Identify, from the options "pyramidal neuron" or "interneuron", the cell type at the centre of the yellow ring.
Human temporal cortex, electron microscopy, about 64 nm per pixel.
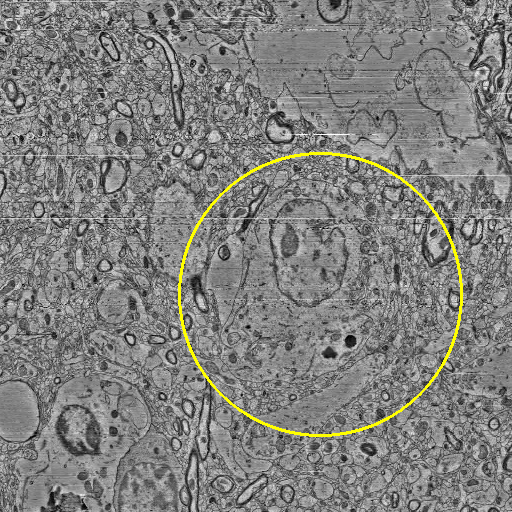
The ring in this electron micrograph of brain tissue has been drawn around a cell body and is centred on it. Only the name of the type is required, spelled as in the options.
pyramidal neuron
